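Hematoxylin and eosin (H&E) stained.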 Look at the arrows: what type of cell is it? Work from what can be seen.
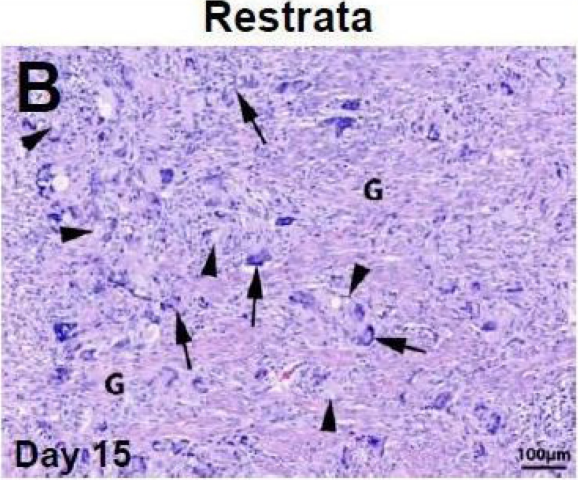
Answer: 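The arrows point to large cells with dark purple clustered nuclei. These cells are much larger than the surrounding spindle cells. They lie scattered through a pale, fibrillar background. The answer: multinucleated giant cells.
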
